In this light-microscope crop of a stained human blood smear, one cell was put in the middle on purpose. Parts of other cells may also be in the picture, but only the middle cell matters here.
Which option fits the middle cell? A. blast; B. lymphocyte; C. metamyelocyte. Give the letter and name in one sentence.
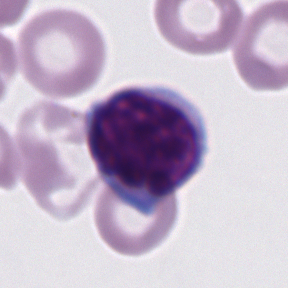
The correct response is option B, naming the cell in the middle as a lymphocyte.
